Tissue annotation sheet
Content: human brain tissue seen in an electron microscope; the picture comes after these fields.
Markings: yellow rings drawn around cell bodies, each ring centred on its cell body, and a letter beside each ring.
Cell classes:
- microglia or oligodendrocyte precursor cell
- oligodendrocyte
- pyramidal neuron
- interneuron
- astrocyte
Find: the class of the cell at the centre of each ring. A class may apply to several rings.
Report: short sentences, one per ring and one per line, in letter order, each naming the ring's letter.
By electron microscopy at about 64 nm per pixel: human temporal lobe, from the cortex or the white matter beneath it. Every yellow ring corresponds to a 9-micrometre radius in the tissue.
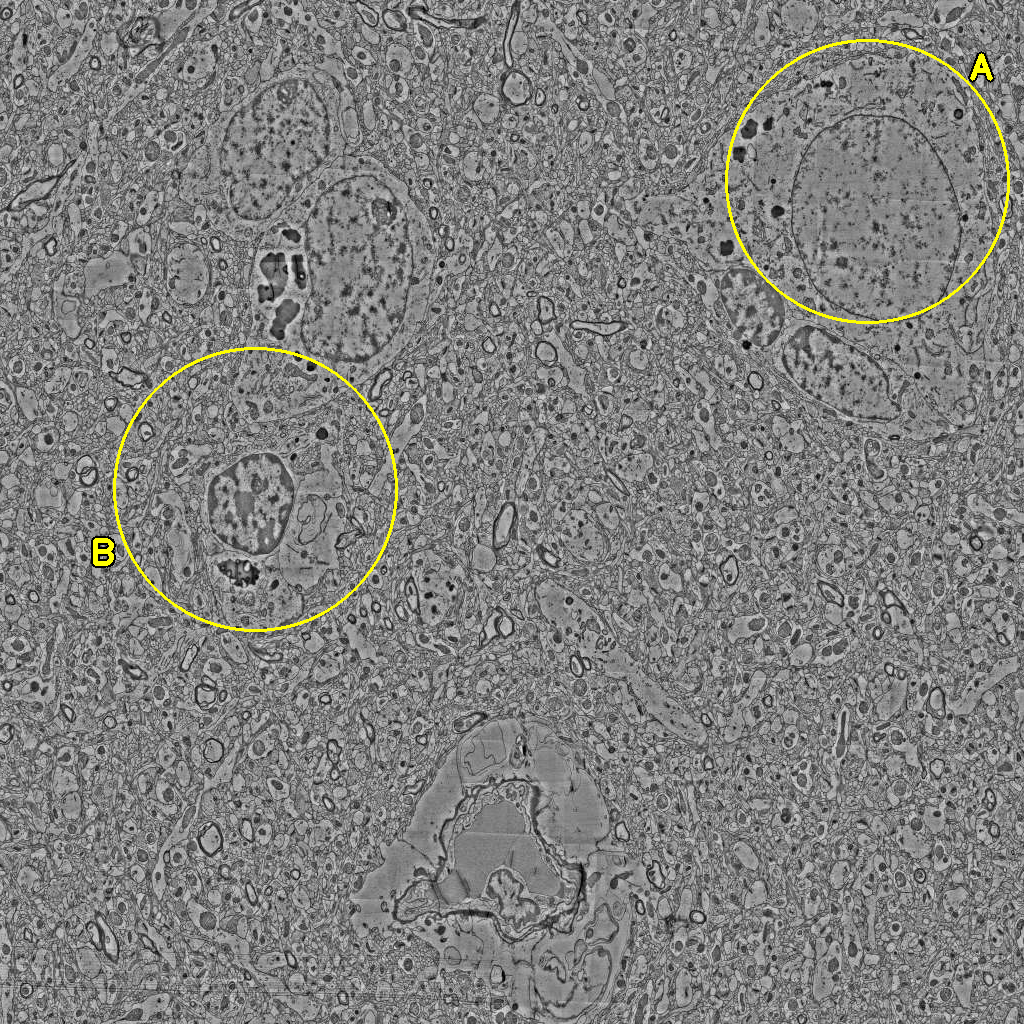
Ring A holds a pyramidal neuron at its centre.
Ring B holds a microglial cell or oligodendrocyte precursor cell at its centre.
